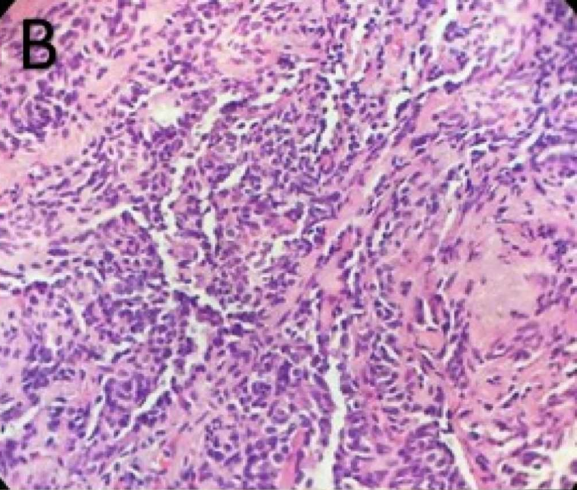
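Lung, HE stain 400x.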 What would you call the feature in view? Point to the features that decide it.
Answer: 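Crowded cells form clusters and elongated bands. Pink strands of stroma and clefts separate the cell groups. The answer: nests and cords.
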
